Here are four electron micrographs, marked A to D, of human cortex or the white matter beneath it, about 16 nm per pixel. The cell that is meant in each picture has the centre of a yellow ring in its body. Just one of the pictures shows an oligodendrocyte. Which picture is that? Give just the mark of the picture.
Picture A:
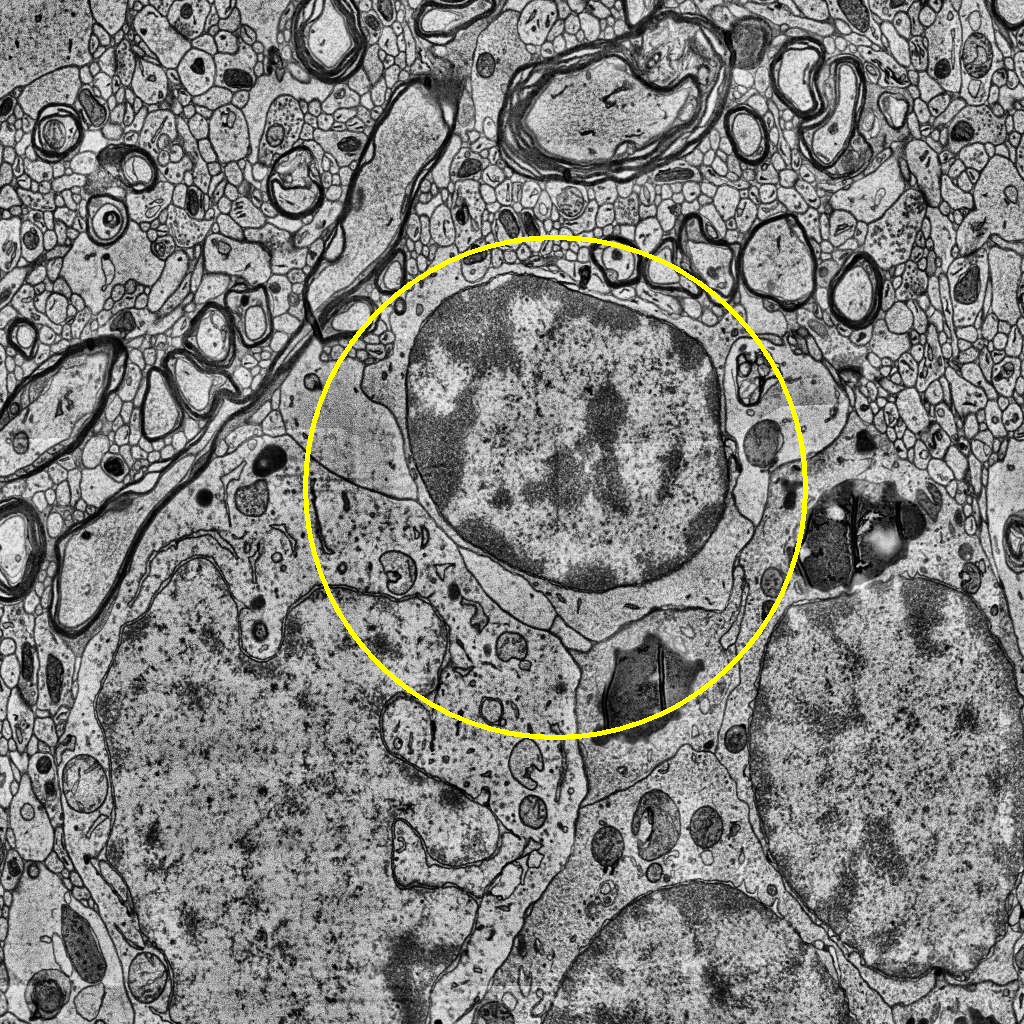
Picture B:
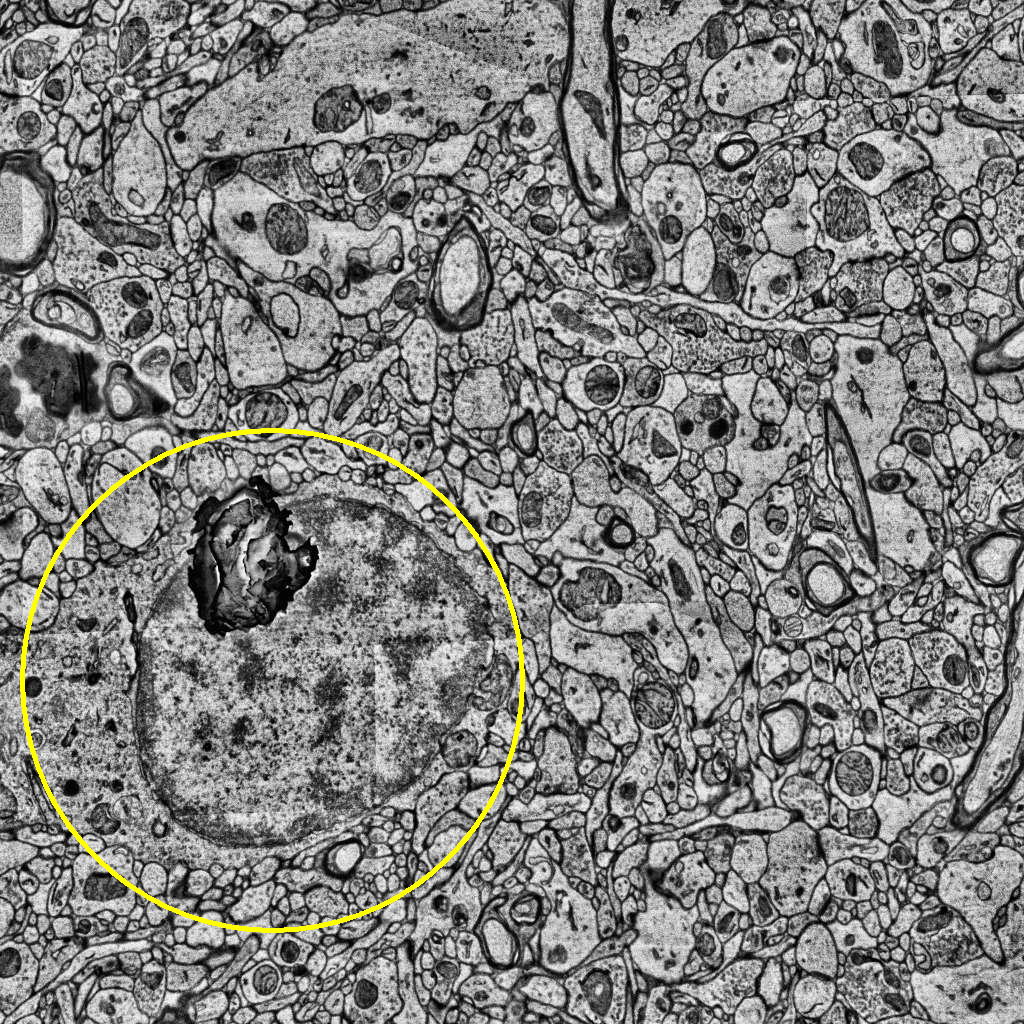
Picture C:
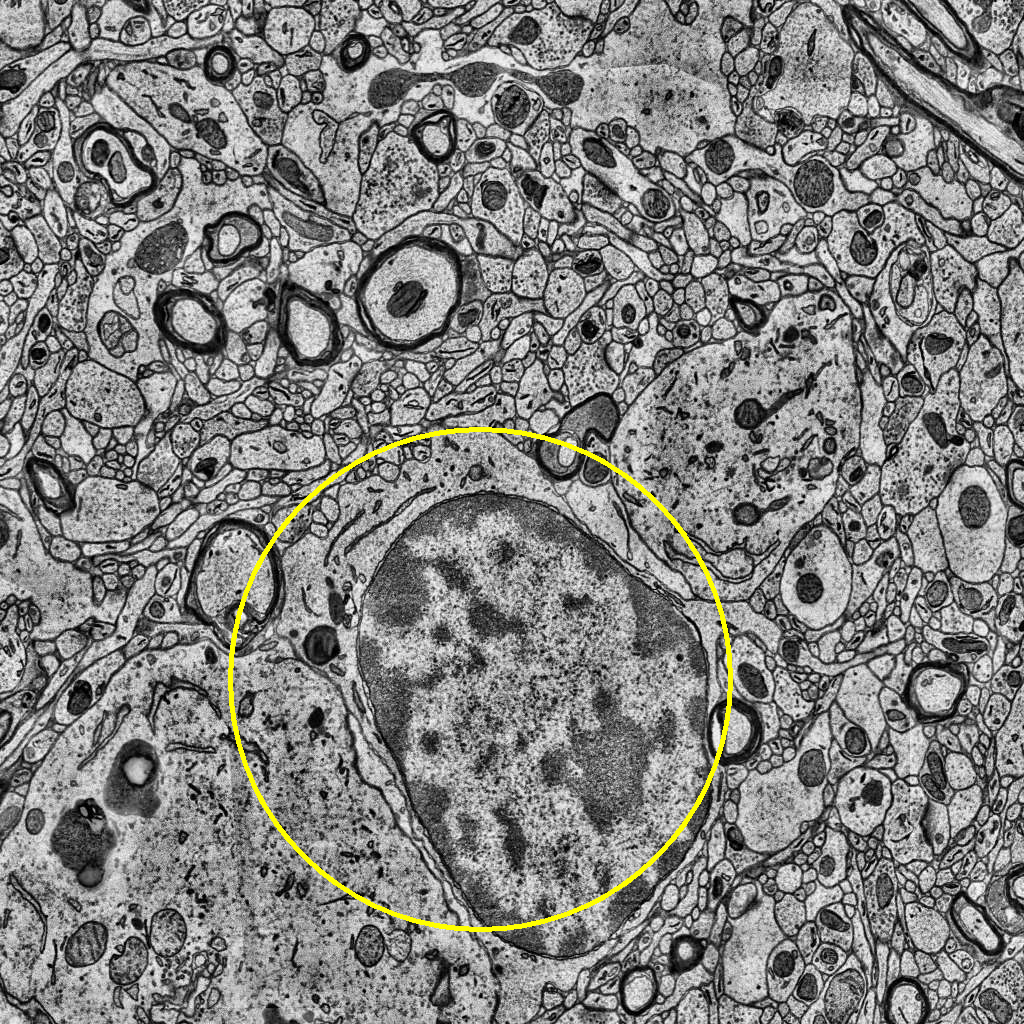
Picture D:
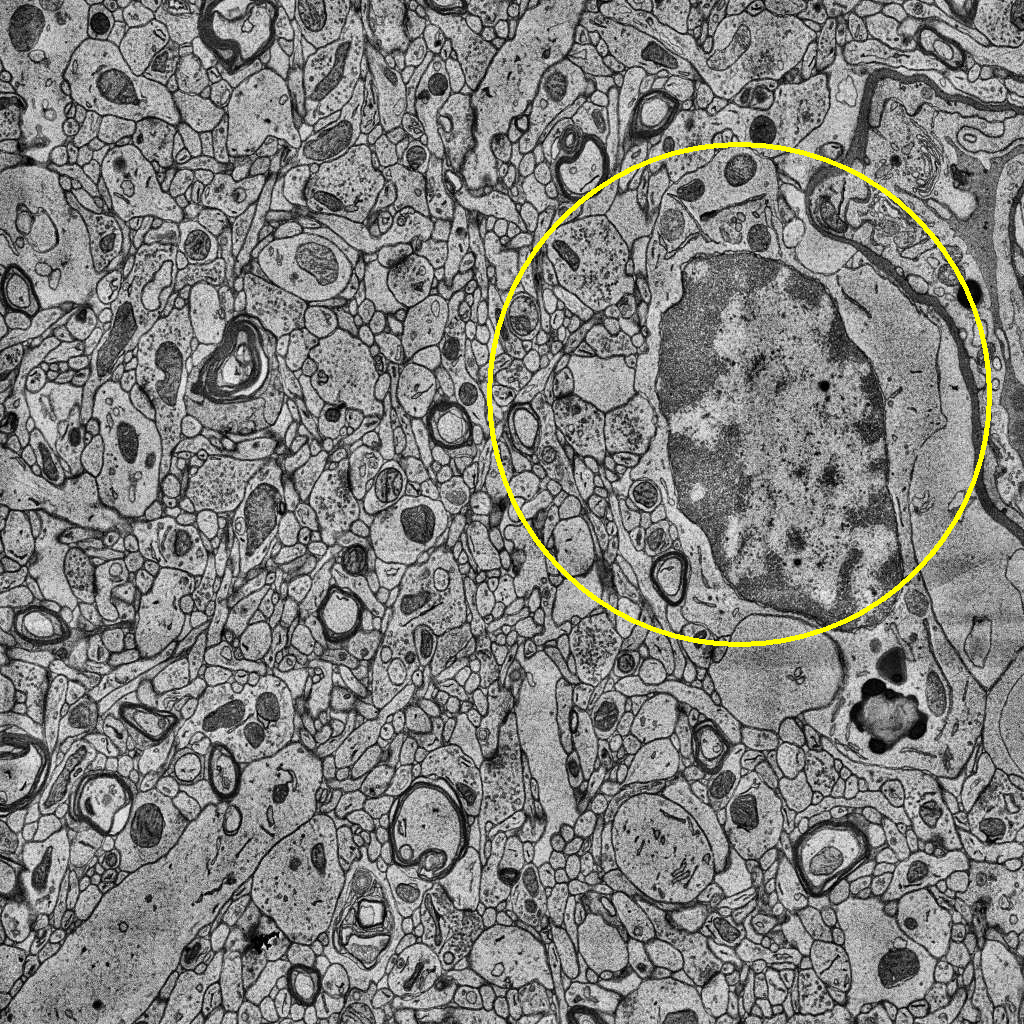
B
